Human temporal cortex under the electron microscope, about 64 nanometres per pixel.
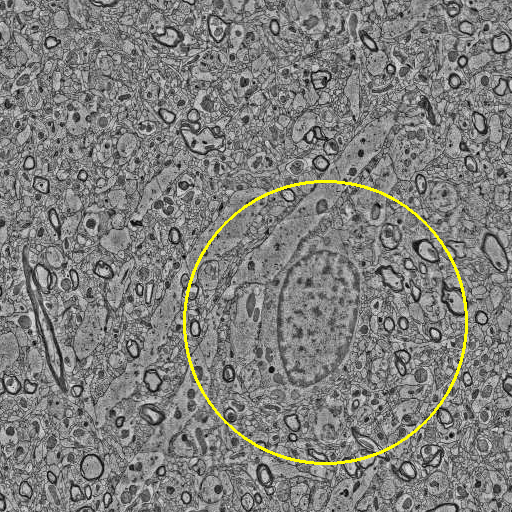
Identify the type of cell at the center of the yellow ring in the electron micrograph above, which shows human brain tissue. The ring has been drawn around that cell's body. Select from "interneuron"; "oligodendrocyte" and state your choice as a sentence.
The yellow ring is centered on the body of an oligodendrocyte.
